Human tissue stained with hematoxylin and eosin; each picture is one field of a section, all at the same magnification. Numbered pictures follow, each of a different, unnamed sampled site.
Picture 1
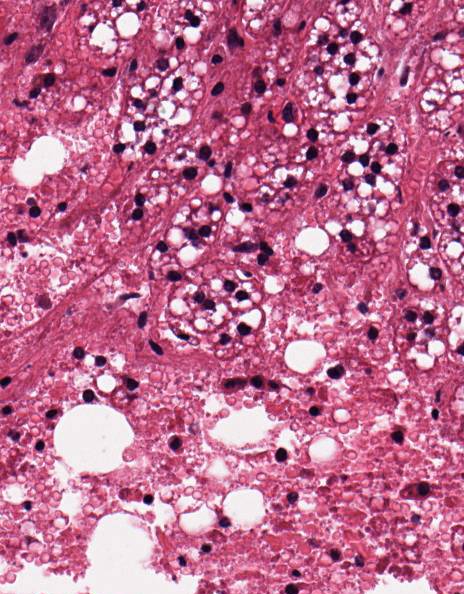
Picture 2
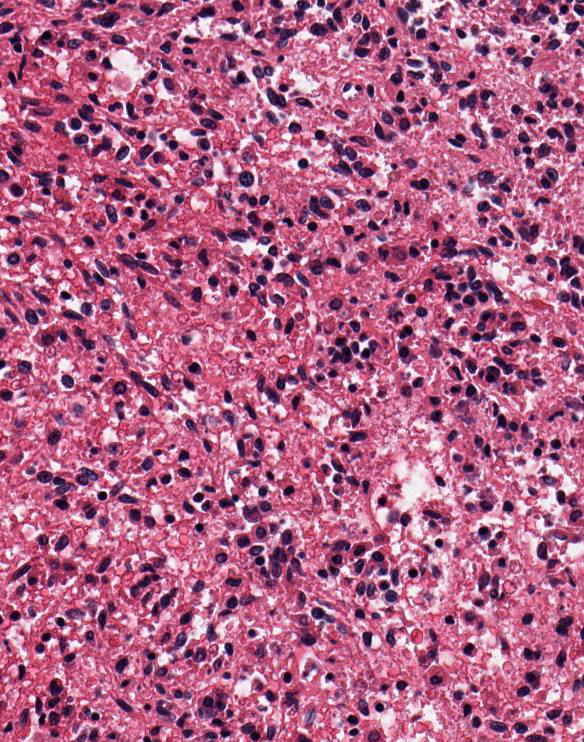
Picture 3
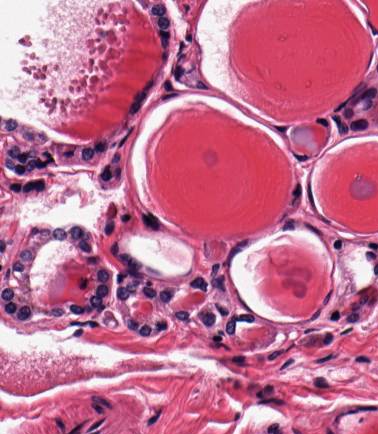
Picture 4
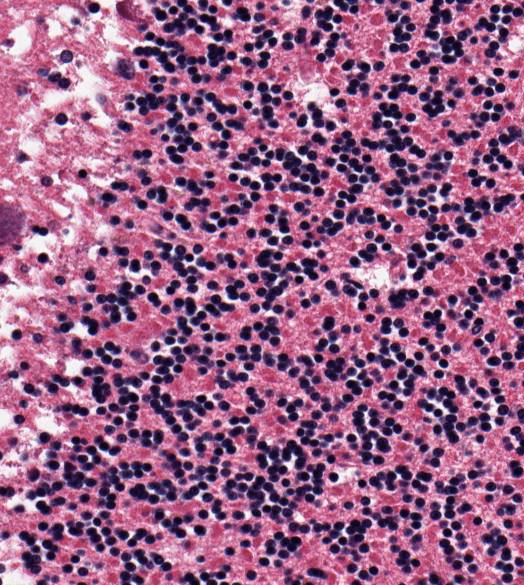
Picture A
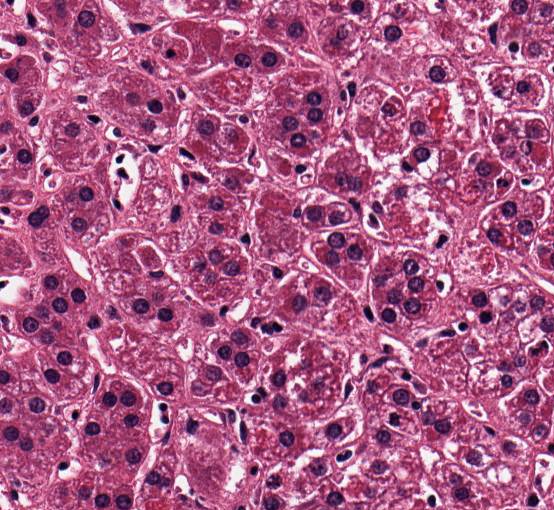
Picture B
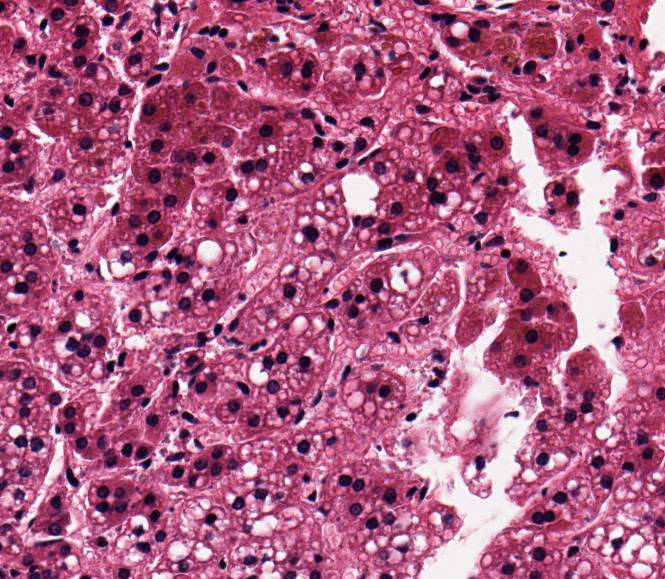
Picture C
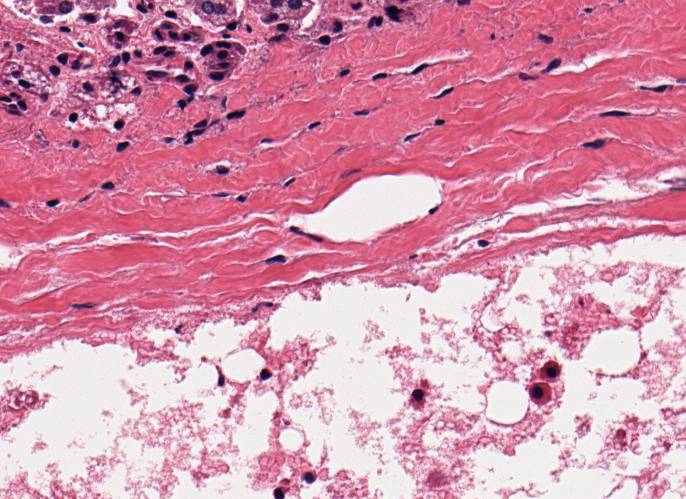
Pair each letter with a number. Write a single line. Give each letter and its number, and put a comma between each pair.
A 1, B 1, C 1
